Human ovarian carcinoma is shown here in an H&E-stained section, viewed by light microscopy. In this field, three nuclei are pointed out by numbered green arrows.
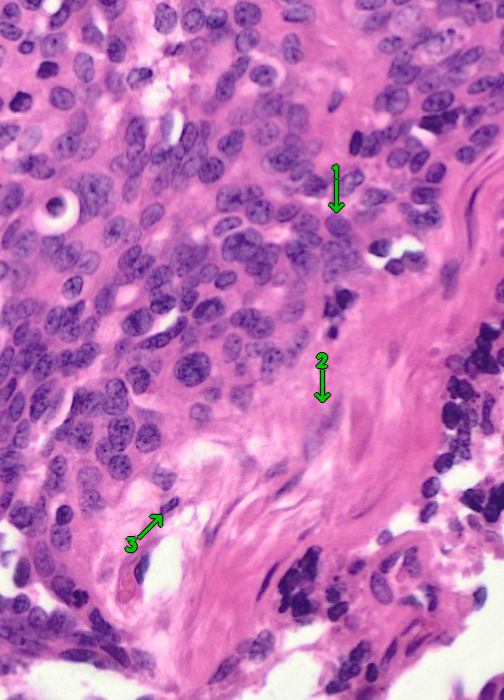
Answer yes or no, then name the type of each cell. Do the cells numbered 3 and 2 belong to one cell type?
Yes, both are fibroblasts.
